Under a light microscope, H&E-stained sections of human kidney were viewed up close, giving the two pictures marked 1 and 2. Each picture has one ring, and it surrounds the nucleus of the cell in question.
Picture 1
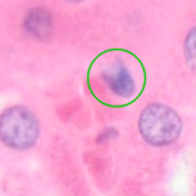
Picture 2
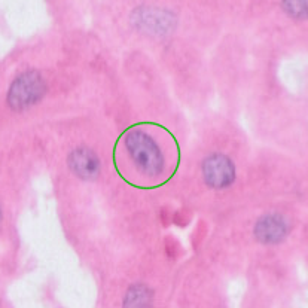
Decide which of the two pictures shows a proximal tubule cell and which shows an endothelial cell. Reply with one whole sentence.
Picture 1 shows an endothelial cell and picture 2 shows a proximal tubule cell.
